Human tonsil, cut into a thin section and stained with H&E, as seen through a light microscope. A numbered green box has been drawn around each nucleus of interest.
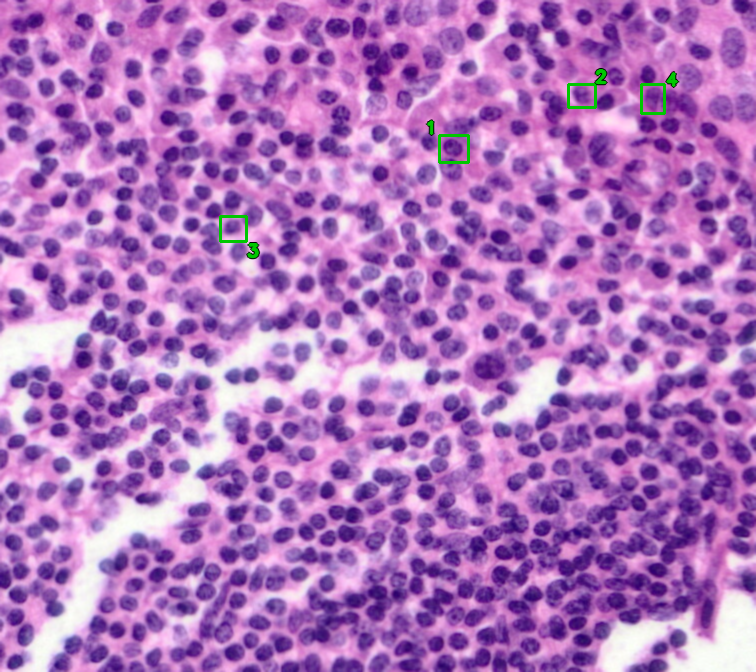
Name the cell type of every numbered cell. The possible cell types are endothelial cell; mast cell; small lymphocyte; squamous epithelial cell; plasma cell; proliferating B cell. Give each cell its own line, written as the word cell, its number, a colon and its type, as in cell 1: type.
cell 1: plasma cell
cell 2: plasma cell
cell 3: small lymphocyte
cell 4: squamous epithelial cell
